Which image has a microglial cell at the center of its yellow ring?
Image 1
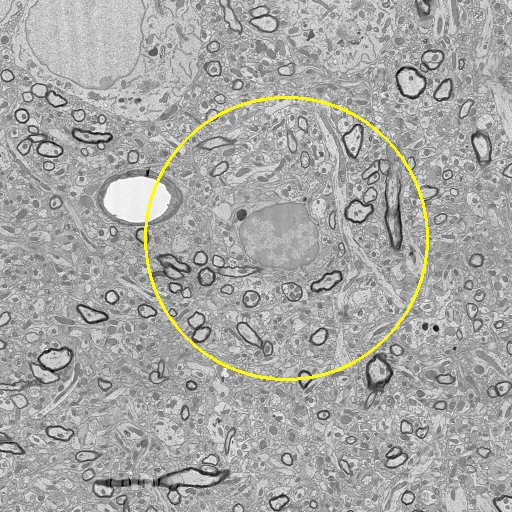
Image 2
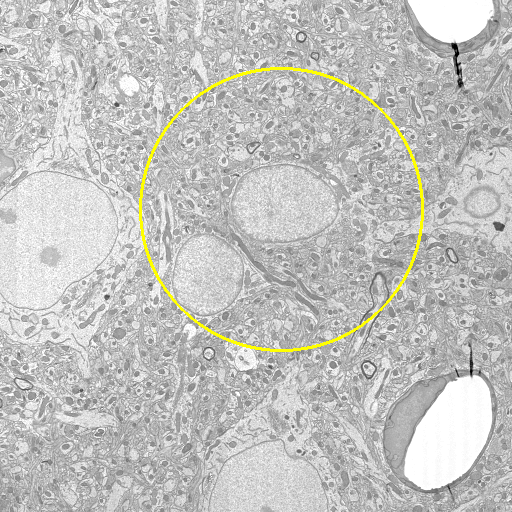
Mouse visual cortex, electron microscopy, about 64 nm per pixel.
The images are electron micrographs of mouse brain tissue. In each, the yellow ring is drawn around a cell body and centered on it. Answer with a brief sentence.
It is at the center of the ring in Image 1.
